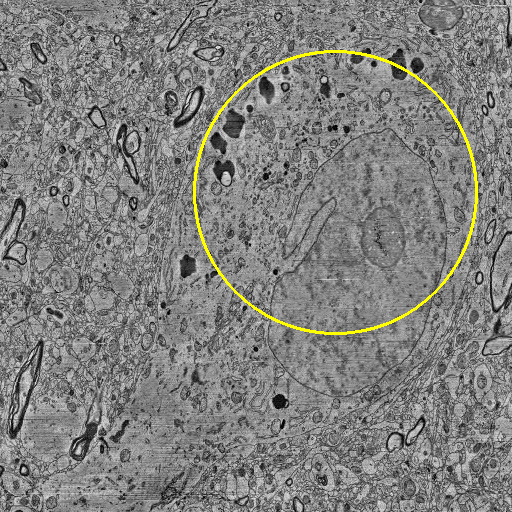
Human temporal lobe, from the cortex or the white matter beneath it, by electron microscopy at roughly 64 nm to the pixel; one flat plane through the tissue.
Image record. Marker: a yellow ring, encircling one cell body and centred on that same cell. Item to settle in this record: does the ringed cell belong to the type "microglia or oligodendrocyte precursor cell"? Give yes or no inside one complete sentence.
No, in the picture, the cell centred within the yellow ring is of a different type.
